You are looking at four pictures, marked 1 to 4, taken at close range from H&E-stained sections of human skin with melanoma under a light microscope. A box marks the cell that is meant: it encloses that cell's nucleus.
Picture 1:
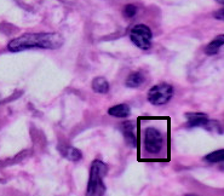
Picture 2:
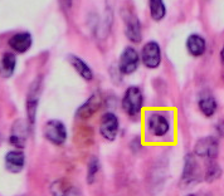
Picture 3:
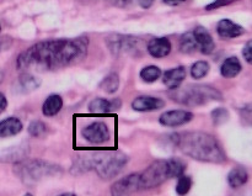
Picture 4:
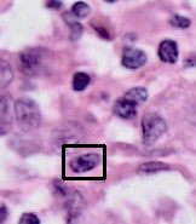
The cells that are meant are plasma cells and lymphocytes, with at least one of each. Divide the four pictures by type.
1: plasma cell
2: plasma cell
3: lymphocyte
4: lymphocyte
